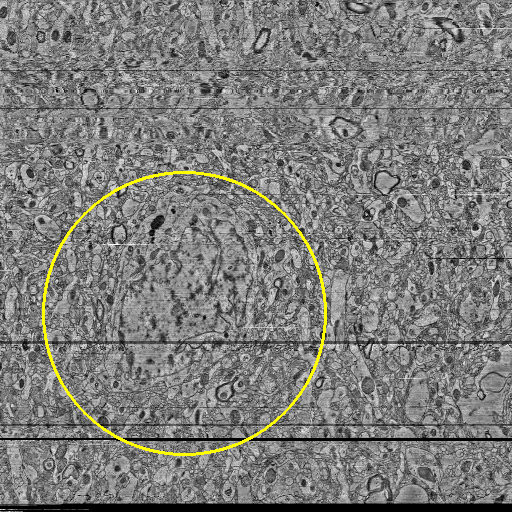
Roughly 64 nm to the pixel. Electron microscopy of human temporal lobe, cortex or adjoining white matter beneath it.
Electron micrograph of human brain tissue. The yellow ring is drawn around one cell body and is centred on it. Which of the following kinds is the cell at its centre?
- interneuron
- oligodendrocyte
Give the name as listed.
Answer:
interneuron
